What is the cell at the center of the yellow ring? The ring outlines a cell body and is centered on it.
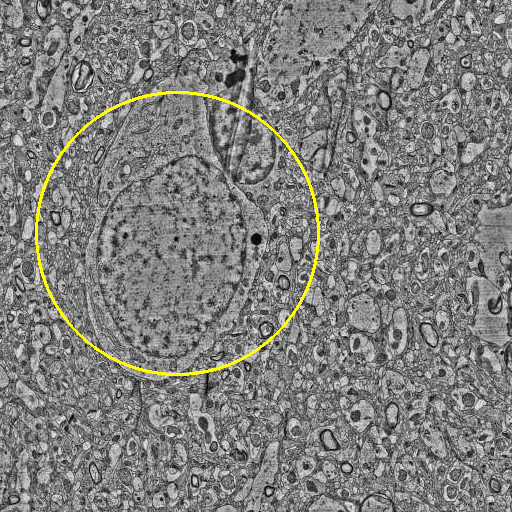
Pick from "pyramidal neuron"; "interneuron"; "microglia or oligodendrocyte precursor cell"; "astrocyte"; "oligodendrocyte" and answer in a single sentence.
The yellow ring is centered on an interneuron.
